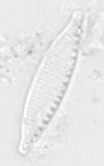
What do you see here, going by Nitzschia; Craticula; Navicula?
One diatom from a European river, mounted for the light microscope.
I see Nitzschia.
